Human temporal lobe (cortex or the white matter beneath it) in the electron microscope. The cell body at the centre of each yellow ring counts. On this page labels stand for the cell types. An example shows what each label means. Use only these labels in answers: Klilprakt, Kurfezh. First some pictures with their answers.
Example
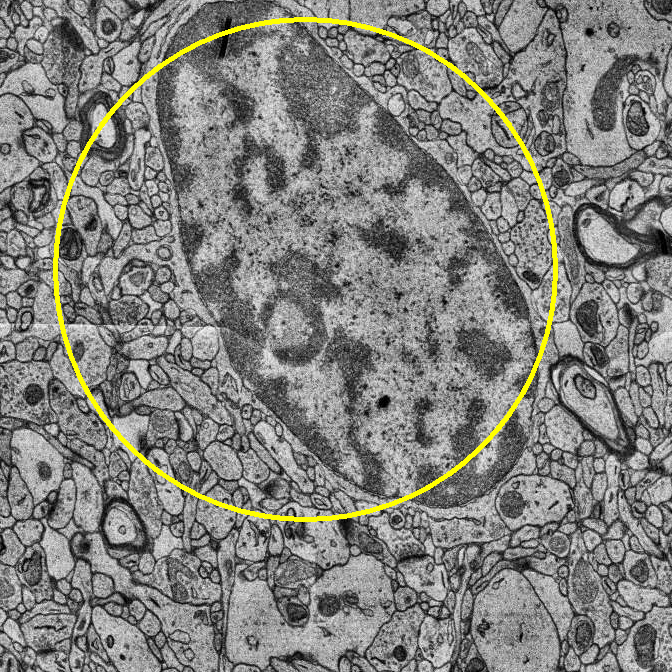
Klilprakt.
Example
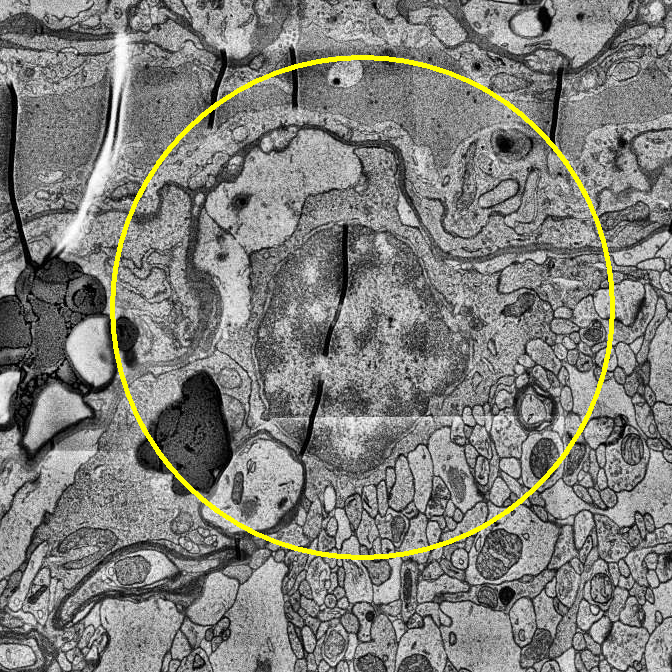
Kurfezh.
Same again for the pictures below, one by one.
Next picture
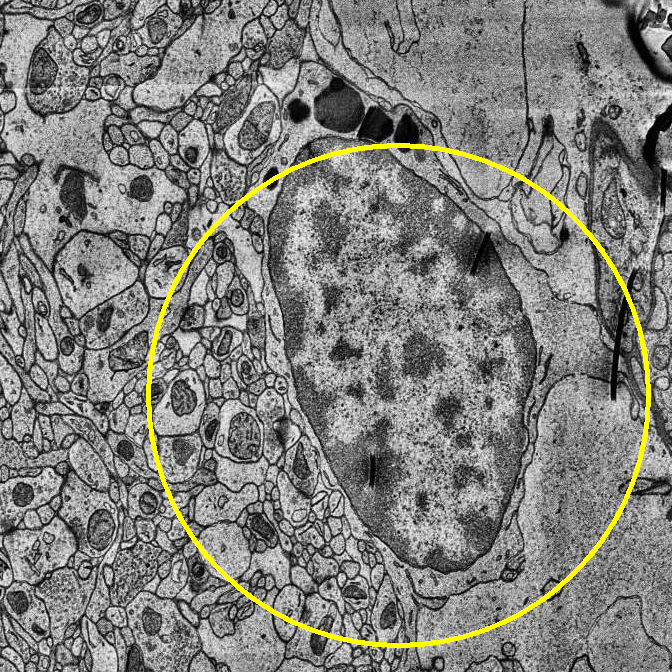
Klilprakt.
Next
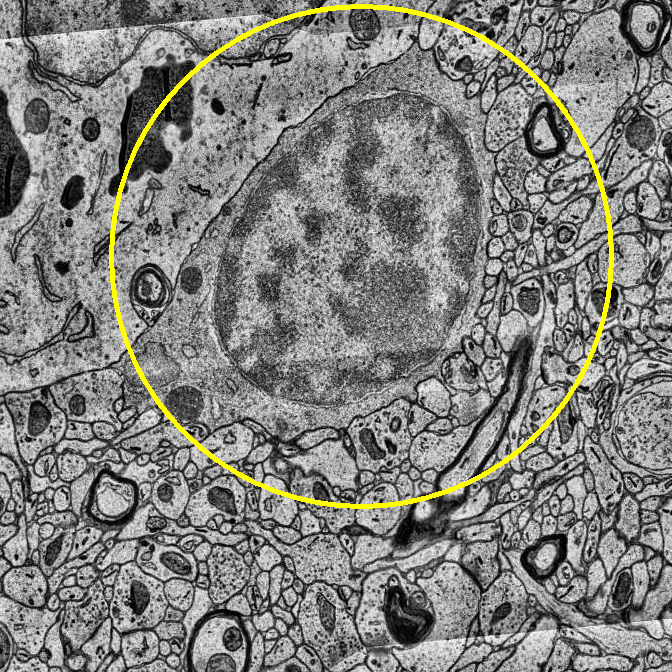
Kurfezh.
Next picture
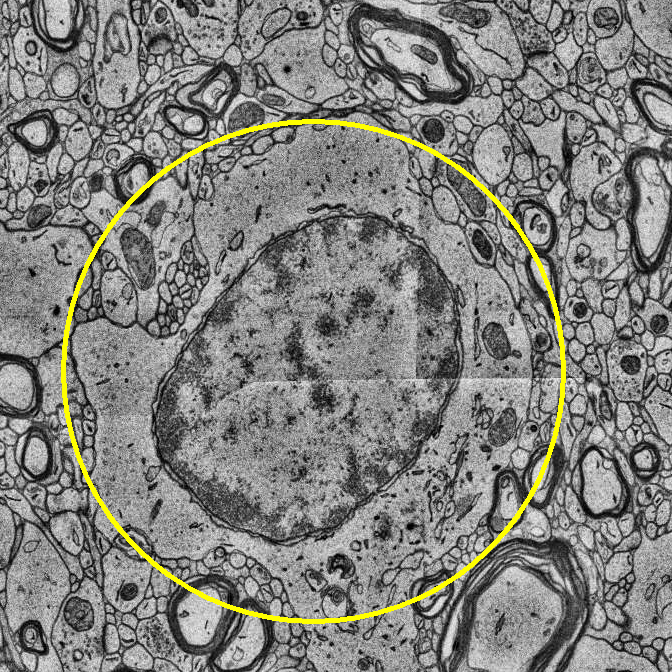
Klilprakt.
